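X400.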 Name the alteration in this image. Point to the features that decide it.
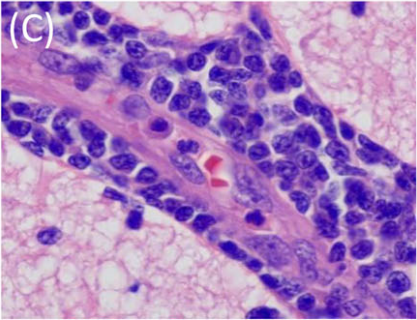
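A vessel with red blood cells in its lumen runs through the panel. Closely packed small round cells with dark nuclei line both sides of the vessel. Pale, finely vacuolated tissue lies outside the cell cuff. On this evidence: Dense perivascular infiltrates.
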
